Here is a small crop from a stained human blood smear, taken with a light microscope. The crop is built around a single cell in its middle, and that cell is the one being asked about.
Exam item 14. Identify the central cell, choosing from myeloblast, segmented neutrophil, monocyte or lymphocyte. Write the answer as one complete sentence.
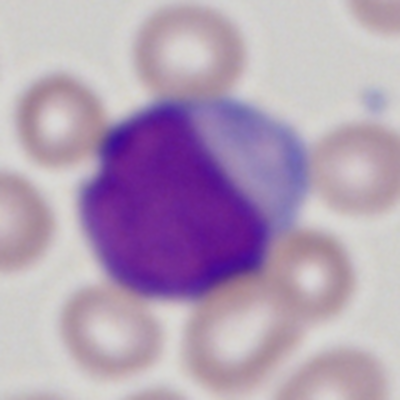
As for the central cell, it is a myeloblast.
